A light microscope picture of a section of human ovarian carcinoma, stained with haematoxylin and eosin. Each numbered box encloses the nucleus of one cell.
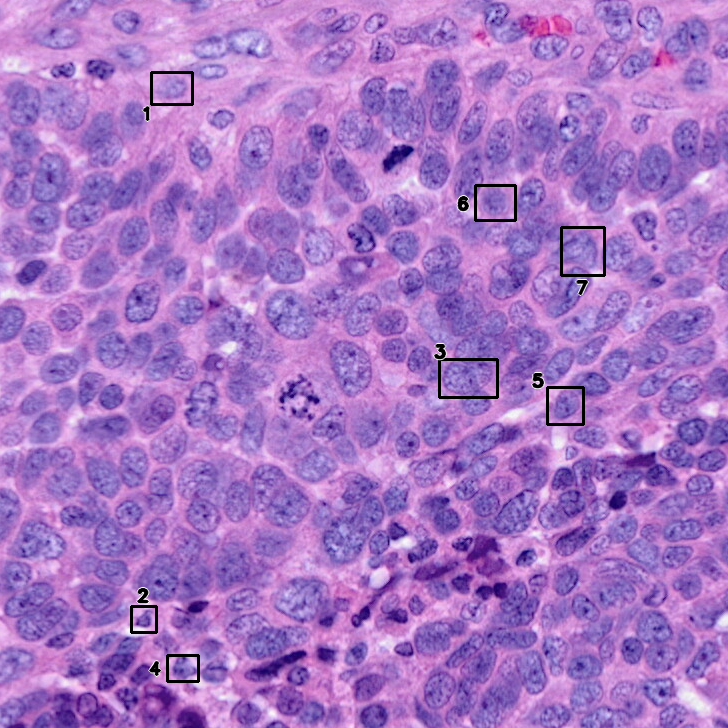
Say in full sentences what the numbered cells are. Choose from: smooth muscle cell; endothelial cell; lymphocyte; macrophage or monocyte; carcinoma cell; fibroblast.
Cell 1 is a fibroblast. Cells 2 and 4 are macrophages or monocytes. Cells 3, 5, 6 and 7 are carcinoma cells.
